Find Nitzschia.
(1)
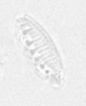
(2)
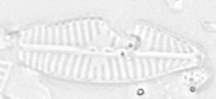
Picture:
1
